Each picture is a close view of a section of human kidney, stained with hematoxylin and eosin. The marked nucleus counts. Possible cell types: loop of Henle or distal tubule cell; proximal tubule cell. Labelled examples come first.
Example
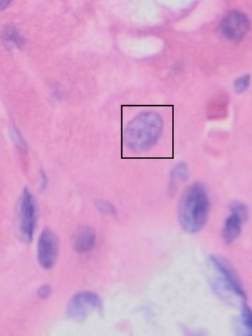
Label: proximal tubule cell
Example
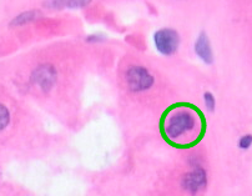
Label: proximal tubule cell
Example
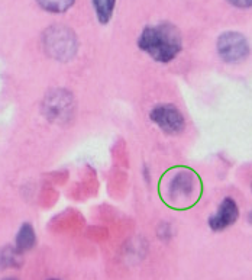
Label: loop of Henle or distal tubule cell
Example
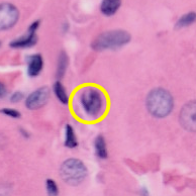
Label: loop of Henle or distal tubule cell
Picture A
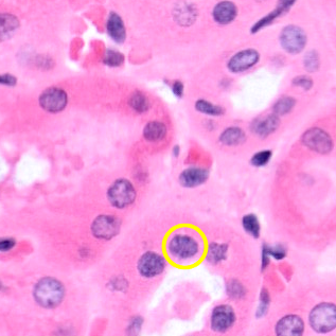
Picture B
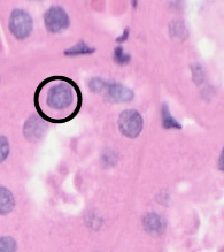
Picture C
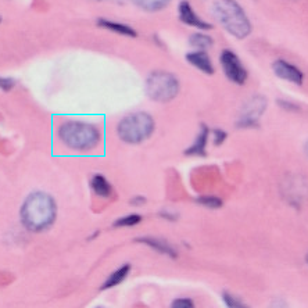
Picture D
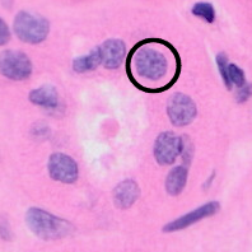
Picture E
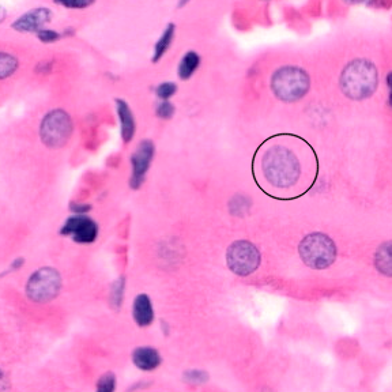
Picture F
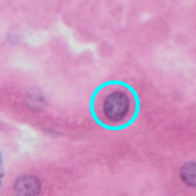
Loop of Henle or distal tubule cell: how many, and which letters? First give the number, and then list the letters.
4: A, B, C, D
